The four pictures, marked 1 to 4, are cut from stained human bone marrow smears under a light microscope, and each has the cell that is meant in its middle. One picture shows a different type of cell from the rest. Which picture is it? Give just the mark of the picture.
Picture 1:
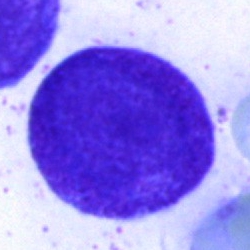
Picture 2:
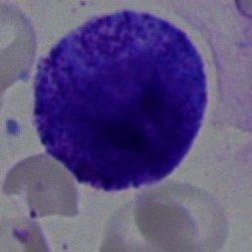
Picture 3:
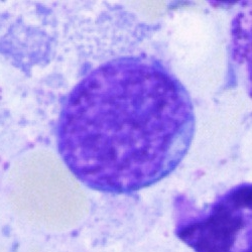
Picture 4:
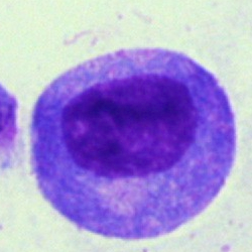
3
